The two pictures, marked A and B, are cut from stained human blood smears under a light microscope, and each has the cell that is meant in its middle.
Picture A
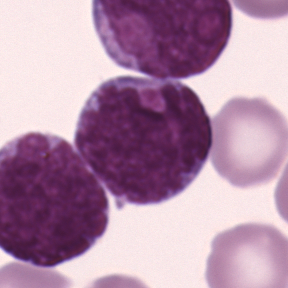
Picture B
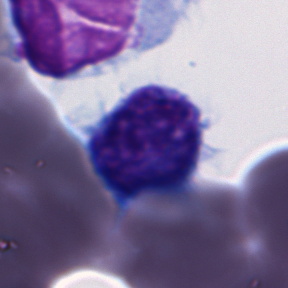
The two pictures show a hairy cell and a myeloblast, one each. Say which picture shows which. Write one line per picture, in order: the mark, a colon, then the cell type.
A: myeloblast
B: hairy cell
